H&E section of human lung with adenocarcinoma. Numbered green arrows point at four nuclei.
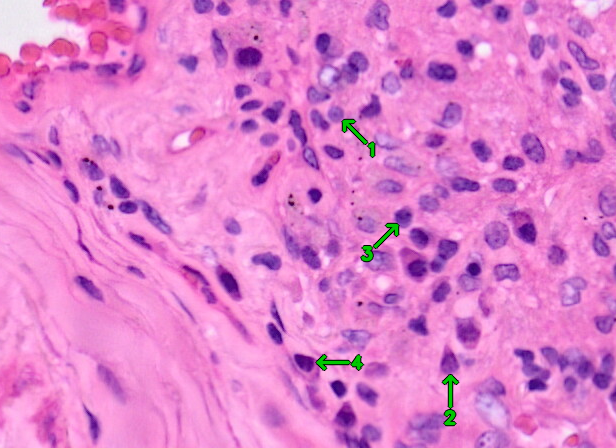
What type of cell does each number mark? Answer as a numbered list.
1. lymphocyte
2. plasma cell
3. lymphocyte
4. plasma cell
